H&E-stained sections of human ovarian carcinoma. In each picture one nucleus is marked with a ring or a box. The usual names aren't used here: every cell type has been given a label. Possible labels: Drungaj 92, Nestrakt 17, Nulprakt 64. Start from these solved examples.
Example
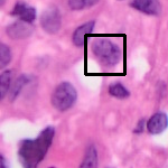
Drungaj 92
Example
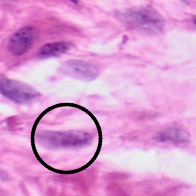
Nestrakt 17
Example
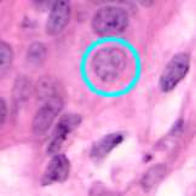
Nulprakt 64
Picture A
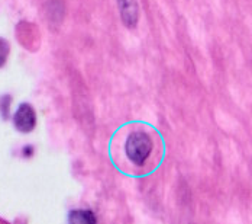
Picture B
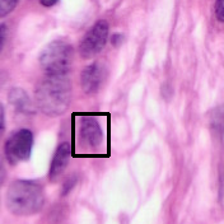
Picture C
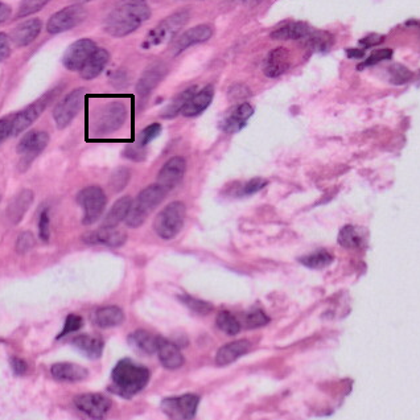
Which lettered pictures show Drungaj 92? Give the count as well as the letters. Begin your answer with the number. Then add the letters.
1: A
